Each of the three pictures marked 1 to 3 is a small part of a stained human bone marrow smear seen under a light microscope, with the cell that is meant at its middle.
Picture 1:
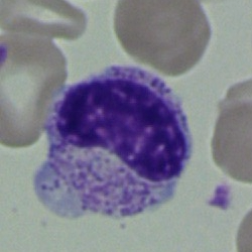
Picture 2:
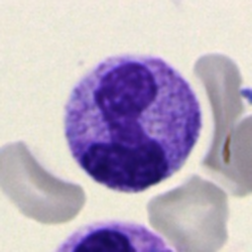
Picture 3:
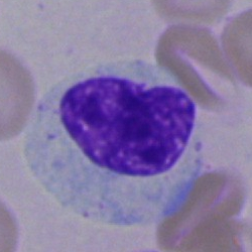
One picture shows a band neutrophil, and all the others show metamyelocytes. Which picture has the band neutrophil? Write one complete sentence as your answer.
It is picture 2 that shows the band neutrophil.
